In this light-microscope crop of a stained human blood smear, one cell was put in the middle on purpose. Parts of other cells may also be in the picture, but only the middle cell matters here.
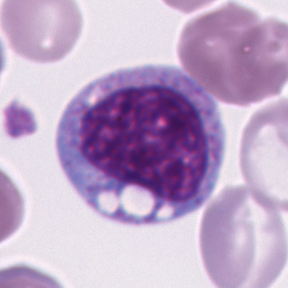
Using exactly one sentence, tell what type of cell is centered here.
The cell occupying the middle of the crop is a promyelocyte.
